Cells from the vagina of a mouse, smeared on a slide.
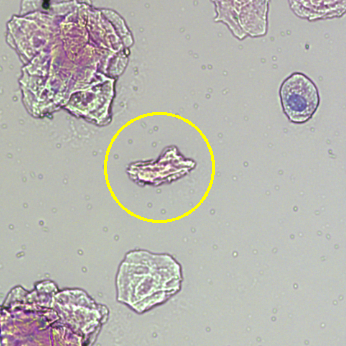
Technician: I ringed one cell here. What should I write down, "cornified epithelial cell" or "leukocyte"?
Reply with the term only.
cornified epithelial cell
